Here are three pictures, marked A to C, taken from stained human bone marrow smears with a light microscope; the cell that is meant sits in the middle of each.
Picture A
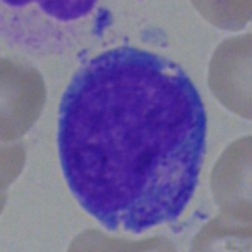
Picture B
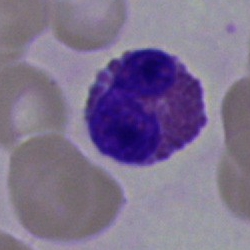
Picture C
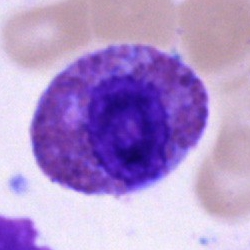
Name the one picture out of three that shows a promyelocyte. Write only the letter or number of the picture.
A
